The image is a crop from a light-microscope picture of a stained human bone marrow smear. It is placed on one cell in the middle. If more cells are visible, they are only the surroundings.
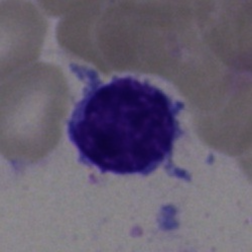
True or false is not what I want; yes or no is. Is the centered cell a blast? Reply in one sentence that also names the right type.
No, what sits in the centre of the crop is a lymphocyte rather than a blast.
